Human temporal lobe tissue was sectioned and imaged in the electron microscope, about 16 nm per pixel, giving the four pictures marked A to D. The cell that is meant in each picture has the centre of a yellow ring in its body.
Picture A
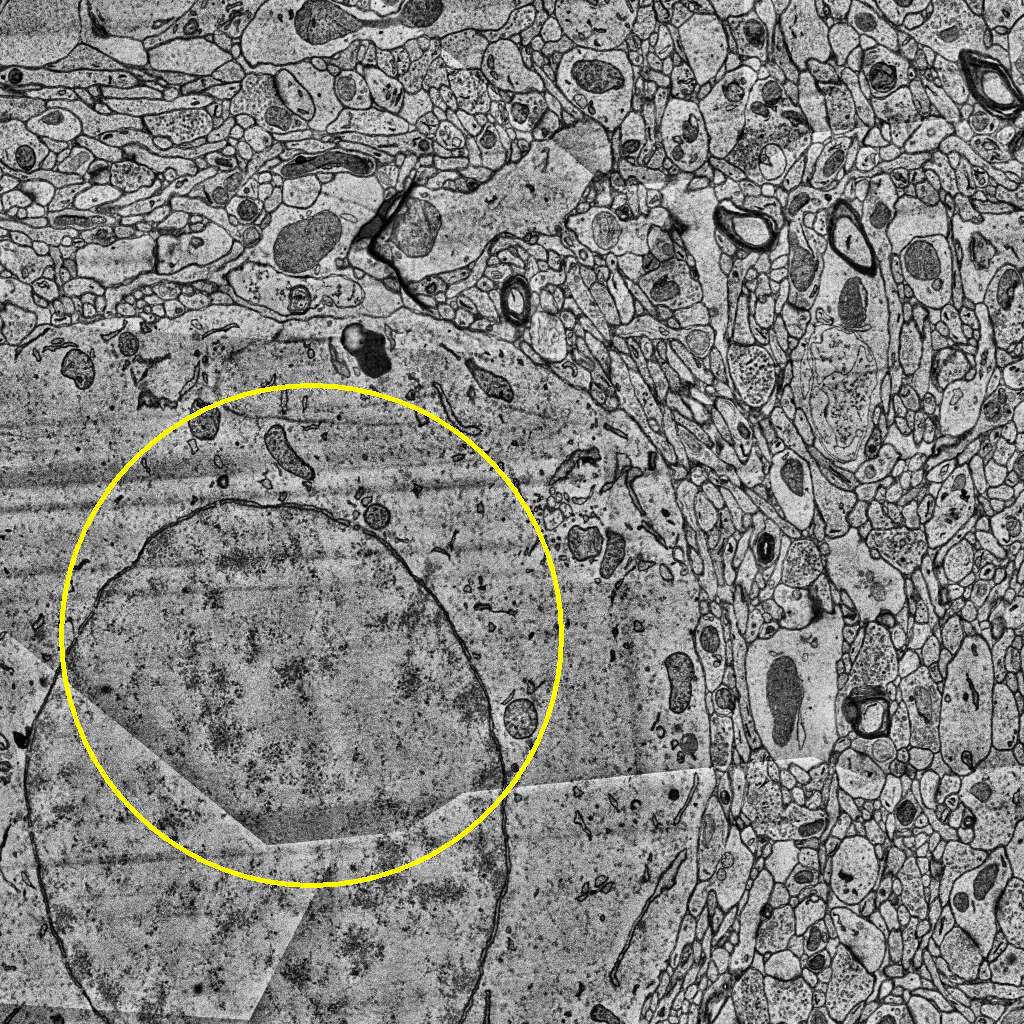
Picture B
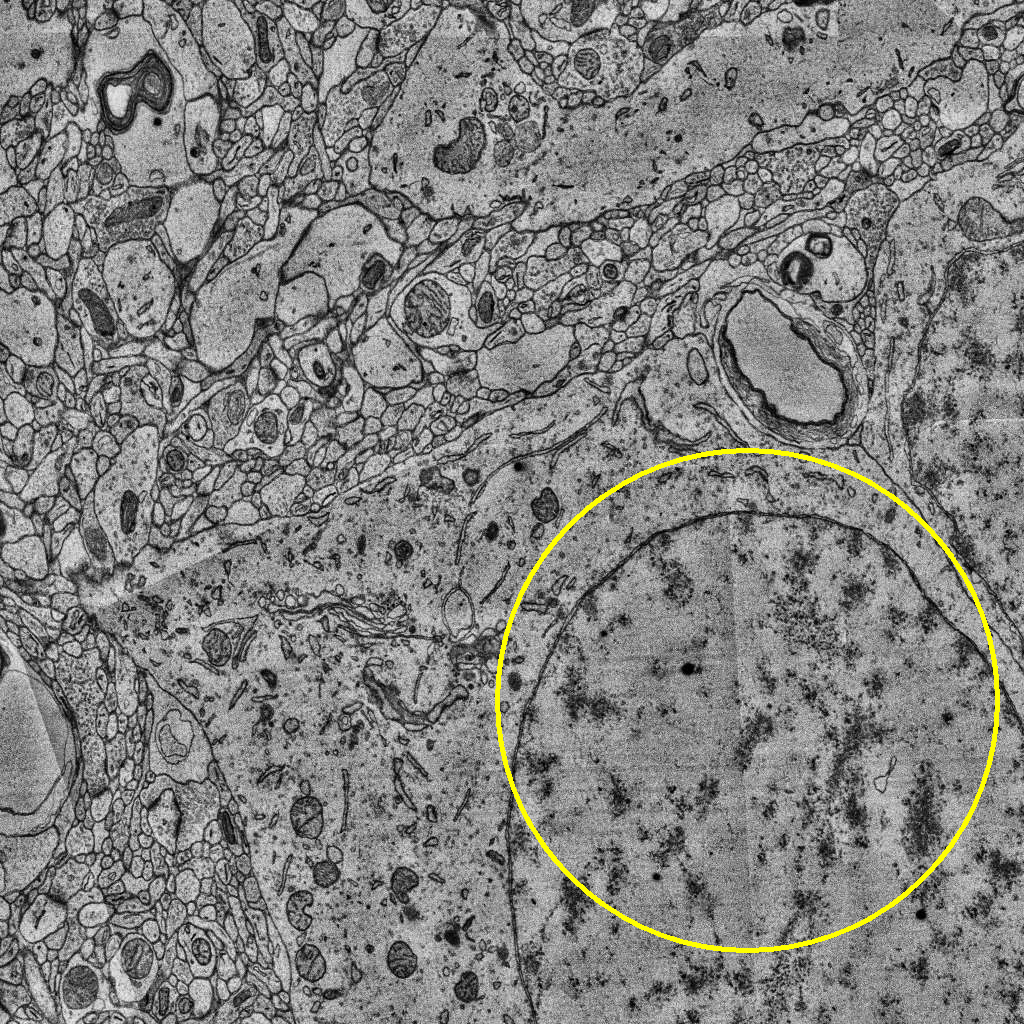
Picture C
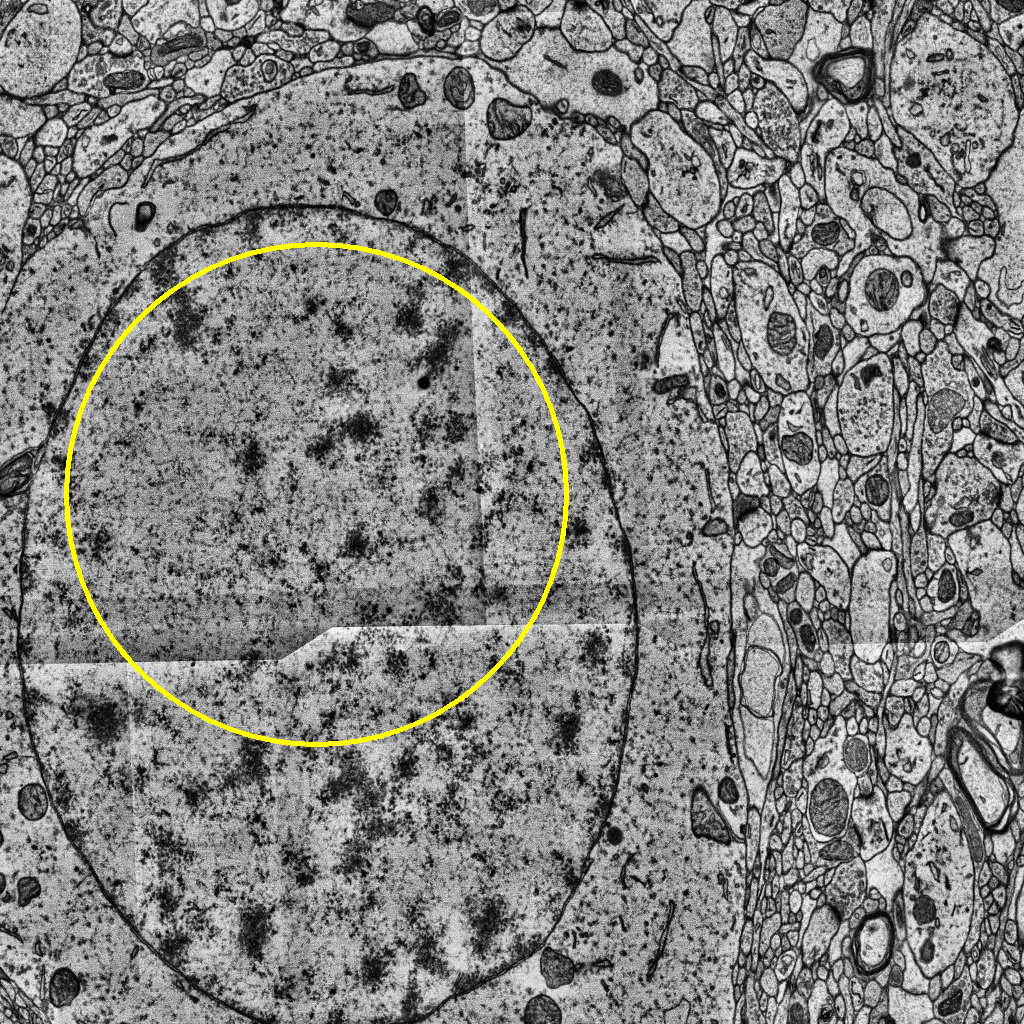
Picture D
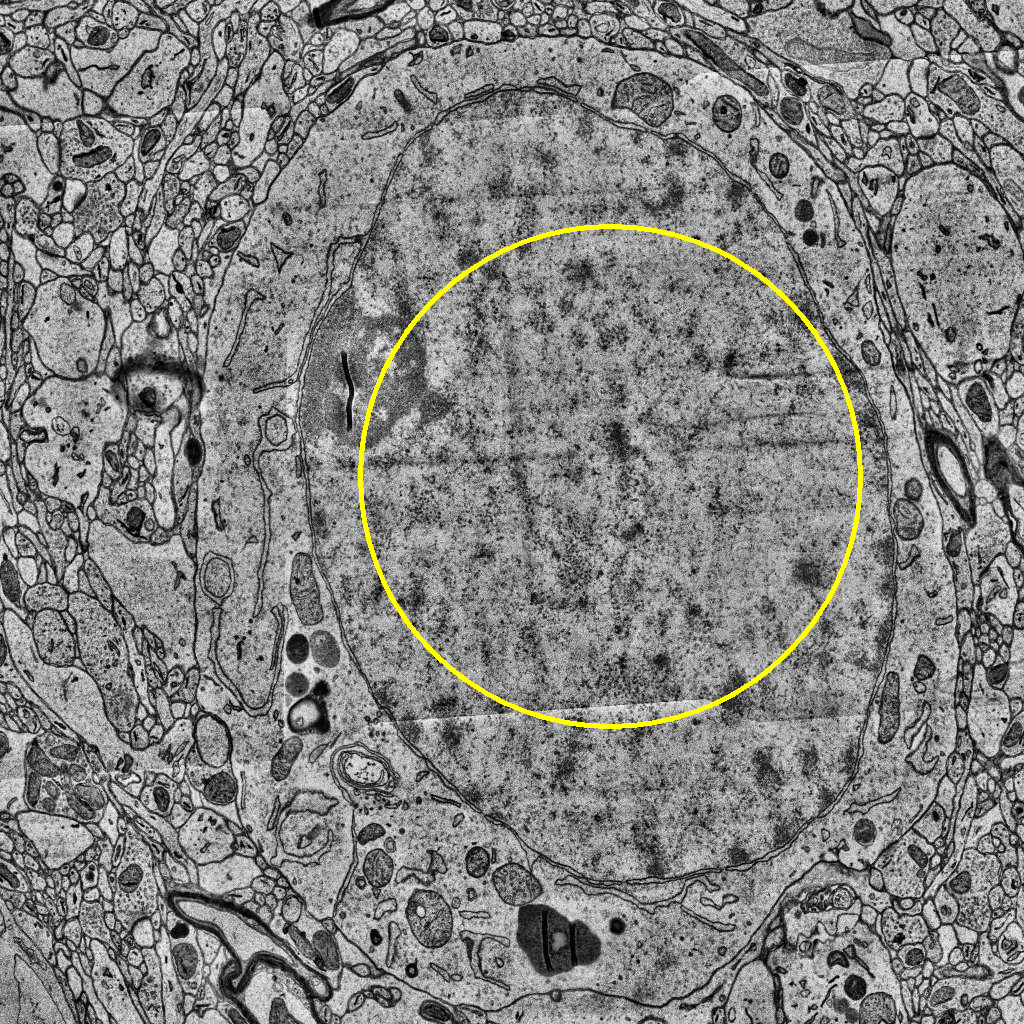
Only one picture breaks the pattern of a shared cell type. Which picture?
The others show pyramidal neurons, but picture D shows an interneuron.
